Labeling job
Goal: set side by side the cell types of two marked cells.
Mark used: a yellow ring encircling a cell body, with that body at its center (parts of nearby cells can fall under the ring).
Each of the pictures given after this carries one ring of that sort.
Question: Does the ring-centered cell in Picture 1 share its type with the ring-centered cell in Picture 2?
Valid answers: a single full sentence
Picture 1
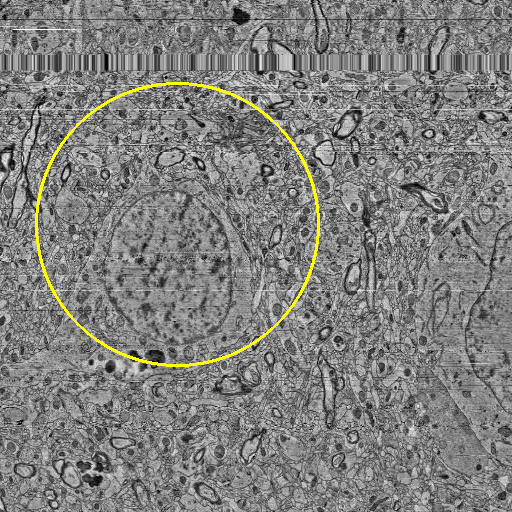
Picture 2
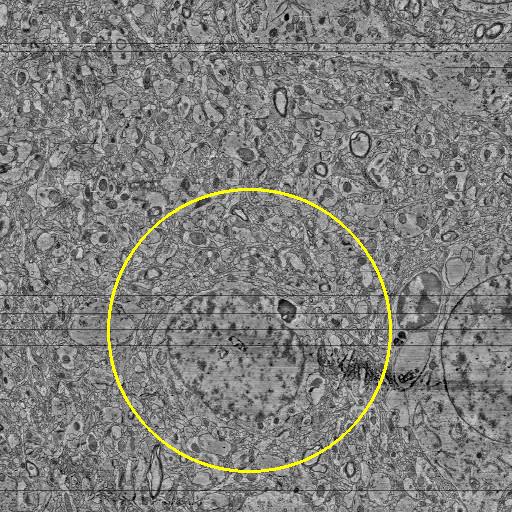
Yes, in Pictures 1 and 2 the cells at the ring centers share one type.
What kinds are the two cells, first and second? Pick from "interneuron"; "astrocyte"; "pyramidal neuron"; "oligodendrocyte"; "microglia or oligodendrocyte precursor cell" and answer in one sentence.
Both the first and the second picture show an interneuron in the ring.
